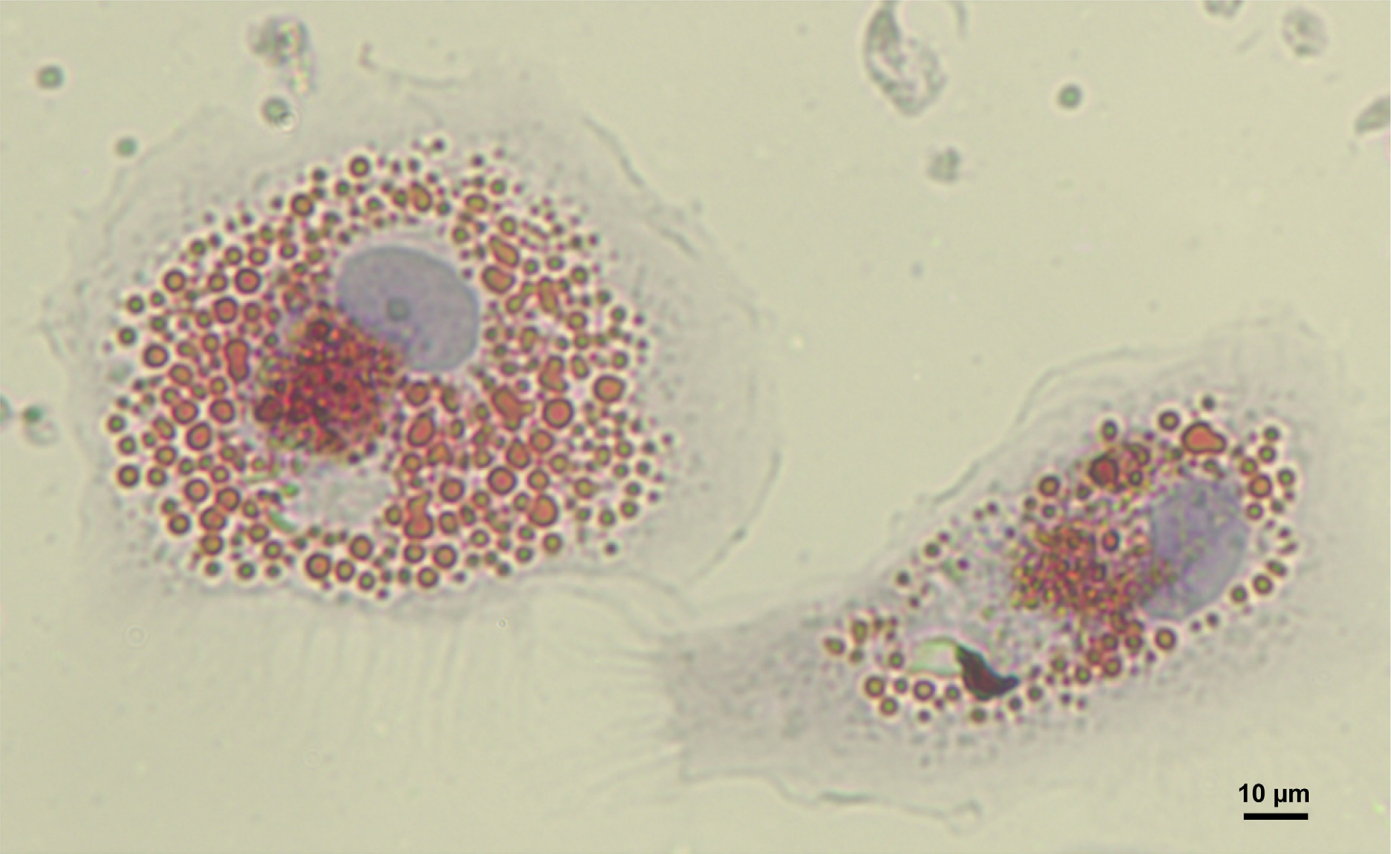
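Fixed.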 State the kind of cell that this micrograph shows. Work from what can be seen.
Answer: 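Two large flattened cells with broad, thin, pale cytoplasmic margins. Each cytoplasm is crowded with many round droplets around a single oval nucleus.
Conclusion: macrophage foam cells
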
